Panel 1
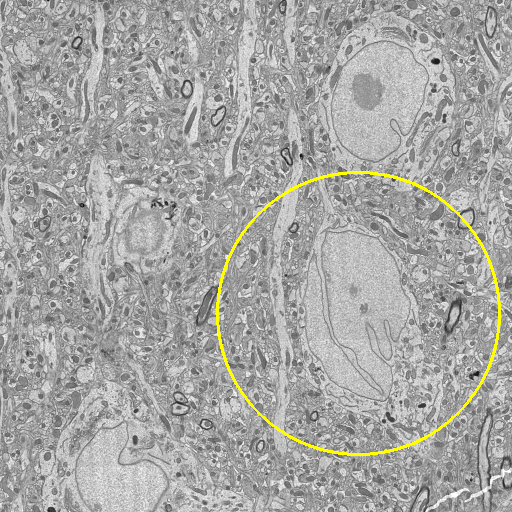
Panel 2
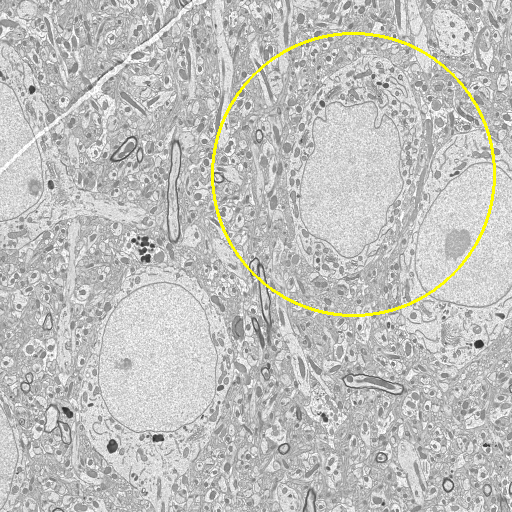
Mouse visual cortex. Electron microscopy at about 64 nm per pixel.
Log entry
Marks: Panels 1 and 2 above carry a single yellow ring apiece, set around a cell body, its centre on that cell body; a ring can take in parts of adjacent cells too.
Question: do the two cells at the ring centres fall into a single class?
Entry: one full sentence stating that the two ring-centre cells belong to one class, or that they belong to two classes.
The two ring-centre cells in Panels 1 and 2 belong to one class.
